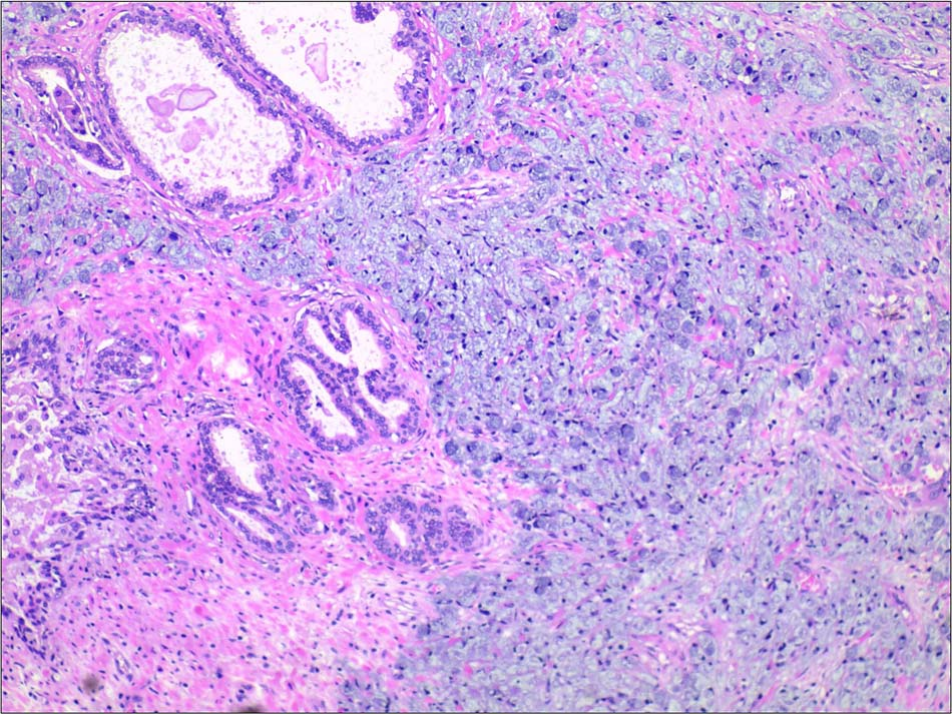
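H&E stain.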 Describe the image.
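This section shows a diffuse infiltrate of signet-ring cells spreading through tissue that still holds several pre-existing glands. At the upper left and lower left, the glands are lined by a layer of epithelium with small dark nuclei. They sit in pink fibrous stroma, and one dilated lumen holds pink secretion. The rest of the field, mainly the centre and right, is filled with sheets of loosely arranged single cells. These cells do not form glands. Their cytoplasm is pale, bluish-grey and bubbly, and many have dark nuclei pushed to one side. Thin strands of pink stroma run between them.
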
